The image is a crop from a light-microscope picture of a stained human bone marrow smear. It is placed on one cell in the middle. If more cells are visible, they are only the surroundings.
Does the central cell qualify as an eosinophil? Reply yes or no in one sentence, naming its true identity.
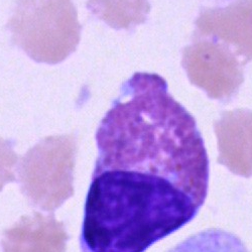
Yes, the cell positioned in the middle is an eosinophil.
